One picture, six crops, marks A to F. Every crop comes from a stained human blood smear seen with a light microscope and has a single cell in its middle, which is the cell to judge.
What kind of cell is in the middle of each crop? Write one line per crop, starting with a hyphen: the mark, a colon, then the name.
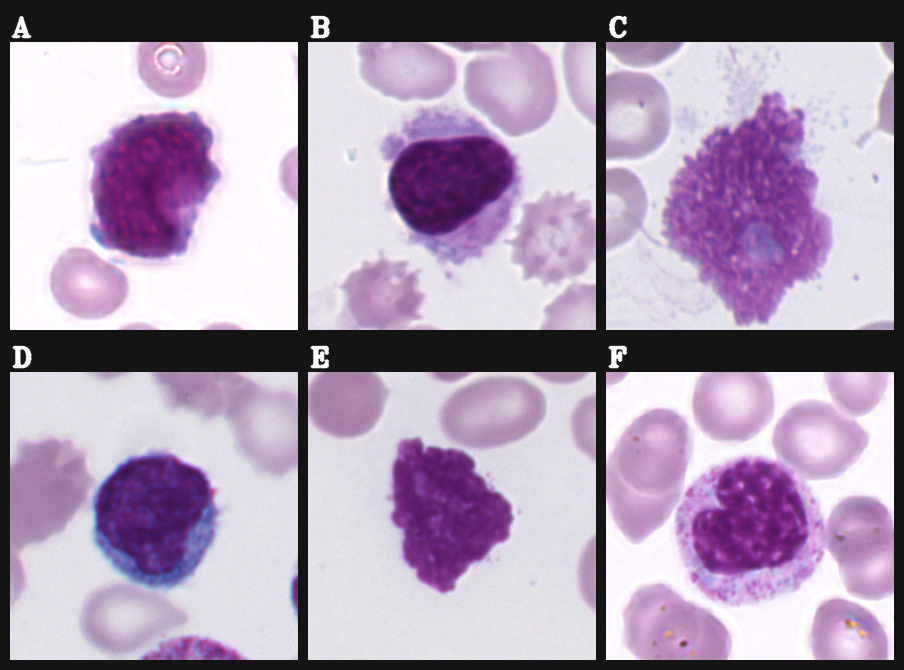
- A: atypical promyelocyte
- B: hairy cell
- C: smudge cell
- D: typical lymphocyte
- E: smudge cell
- F: band neutrophil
